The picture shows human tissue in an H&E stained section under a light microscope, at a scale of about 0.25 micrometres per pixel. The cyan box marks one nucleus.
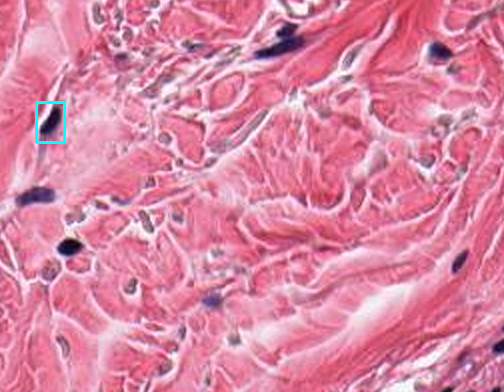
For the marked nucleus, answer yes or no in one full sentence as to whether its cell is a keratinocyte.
No, the marked nucleus is carried by a supporting cell rather than by a keratinocyte.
